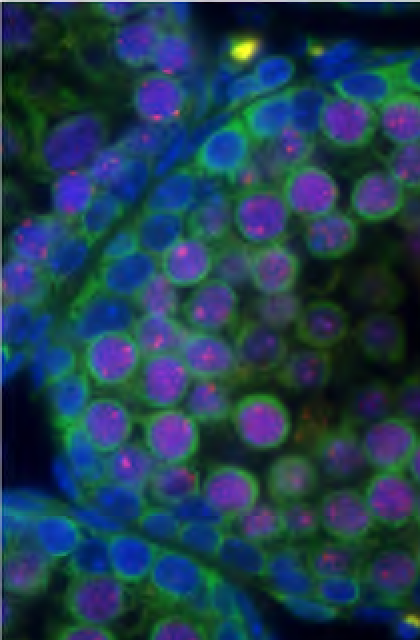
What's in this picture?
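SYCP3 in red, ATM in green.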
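This is a cross section of seminiferous tubules of the testis, filled with spermatocytes. Many large round nuclei carry a speckled red-and-pink signal, and each is rimmed by a thin bright green ring at its edge. Smaller, plain blue nuclei line the outer edge of the tubules, next to the thin tubule wall. Parts of neighbouring tubules are seen at the corners.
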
